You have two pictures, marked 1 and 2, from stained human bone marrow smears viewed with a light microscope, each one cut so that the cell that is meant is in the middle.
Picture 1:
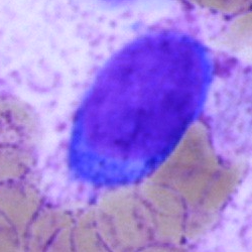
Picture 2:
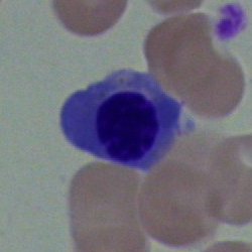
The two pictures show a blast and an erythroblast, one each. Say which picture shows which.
1: blast
2: erythroblast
